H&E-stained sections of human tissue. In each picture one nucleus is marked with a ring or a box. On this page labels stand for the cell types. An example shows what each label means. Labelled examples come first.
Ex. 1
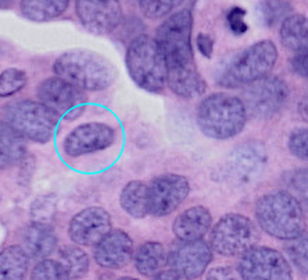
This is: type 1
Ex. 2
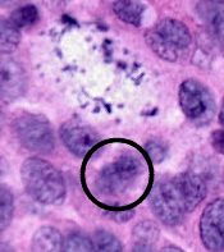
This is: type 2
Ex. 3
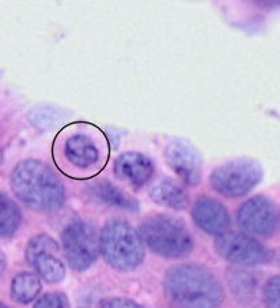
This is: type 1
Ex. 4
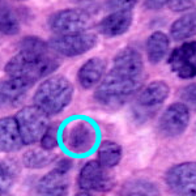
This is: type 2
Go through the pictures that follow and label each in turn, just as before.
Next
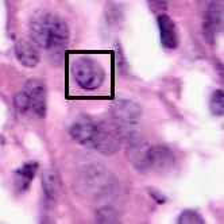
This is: type 1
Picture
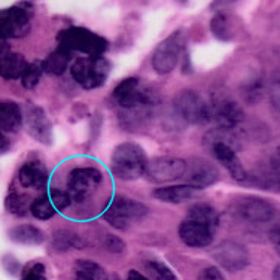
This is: type 2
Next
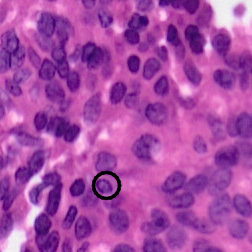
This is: type 1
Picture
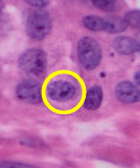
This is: type 1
